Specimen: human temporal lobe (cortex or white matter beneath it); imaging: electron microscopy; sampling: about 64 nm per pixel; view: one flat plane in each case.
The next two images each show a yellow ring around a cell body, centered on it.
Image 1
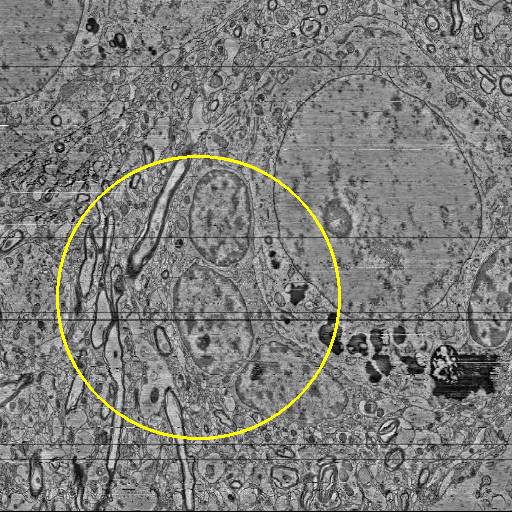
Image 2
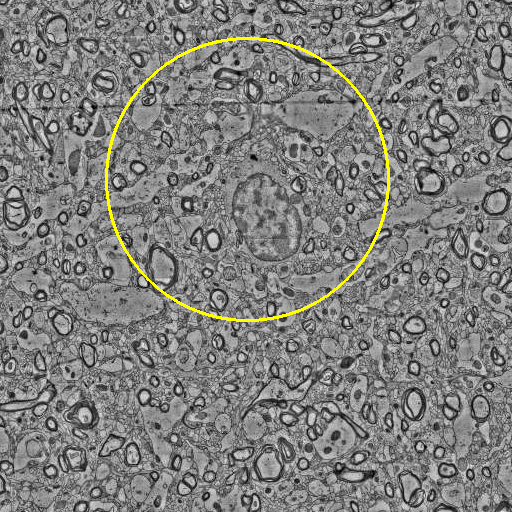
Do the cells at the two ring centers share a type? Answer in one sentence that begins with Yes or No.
Yes, across the two images the cells at the ring centers share one type.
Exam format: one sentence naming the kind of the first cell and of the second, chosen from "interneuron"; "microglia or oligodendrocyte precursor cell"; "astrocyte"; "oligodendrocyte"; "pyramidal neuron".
Both rings mark an oligodendrocyte, one in each picture.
